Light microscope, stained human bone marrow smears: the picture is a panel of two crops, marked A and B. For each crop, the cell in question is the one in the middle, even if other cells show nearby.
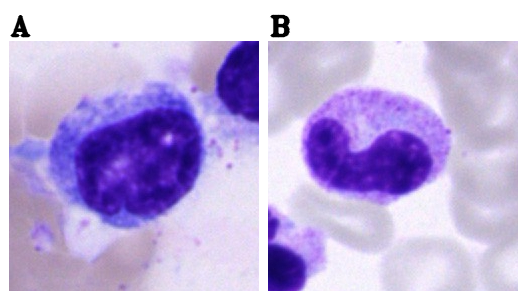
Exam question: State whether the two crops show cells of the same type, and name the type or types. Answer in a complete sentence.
No, within crop A lies a monocyte, and within crop B lies a band neutrophil.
